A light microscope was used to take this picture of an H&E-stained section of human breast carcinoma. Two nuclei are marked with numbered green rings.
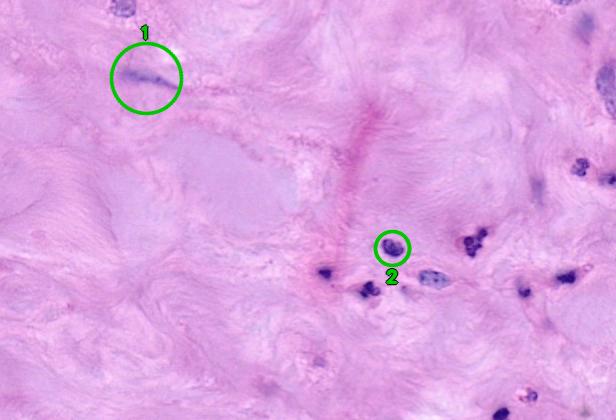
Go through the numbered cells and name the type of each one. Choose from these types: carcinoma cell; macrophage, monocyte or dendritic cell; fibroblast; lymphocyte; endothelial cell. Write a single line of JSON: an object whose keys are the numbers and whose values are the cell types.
{"1": "fibroblast", "2": "lymphocyte"}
